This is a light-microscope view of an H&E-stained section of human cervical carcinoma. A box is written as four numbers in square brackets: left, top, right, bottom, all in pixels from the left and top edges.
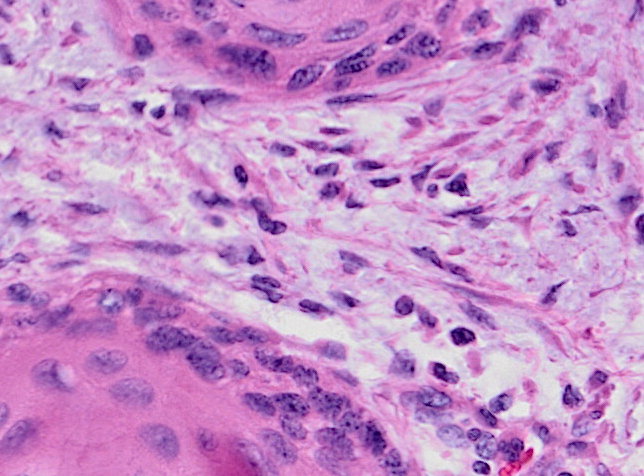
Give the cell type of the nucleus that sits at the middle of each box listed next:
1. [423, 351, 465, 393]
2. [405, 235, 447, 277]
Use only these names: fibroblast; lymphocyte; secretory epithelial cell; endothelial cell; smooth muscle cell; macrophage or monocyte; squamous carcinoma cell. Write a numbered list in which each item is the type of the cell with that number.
1. lymphocyte
2. fibroblast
